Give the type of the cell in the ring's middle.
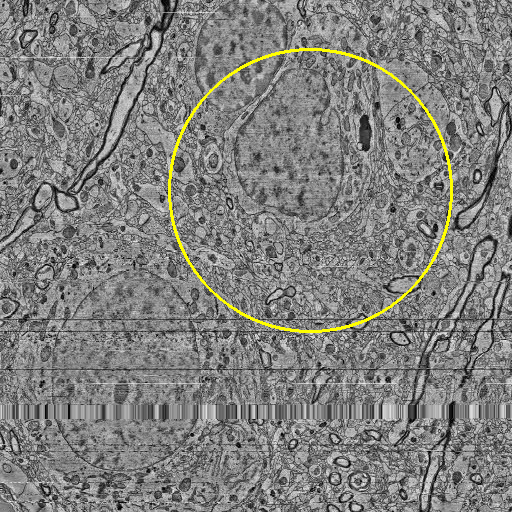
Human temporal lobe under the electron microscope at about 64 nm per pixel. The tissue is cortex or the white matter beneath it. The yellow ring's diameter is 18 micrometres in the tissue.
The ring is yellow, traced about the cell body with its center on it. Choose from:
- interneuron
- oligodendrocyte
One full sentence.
Here, an interneuron is the cell lying at the center of the yellow ring.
